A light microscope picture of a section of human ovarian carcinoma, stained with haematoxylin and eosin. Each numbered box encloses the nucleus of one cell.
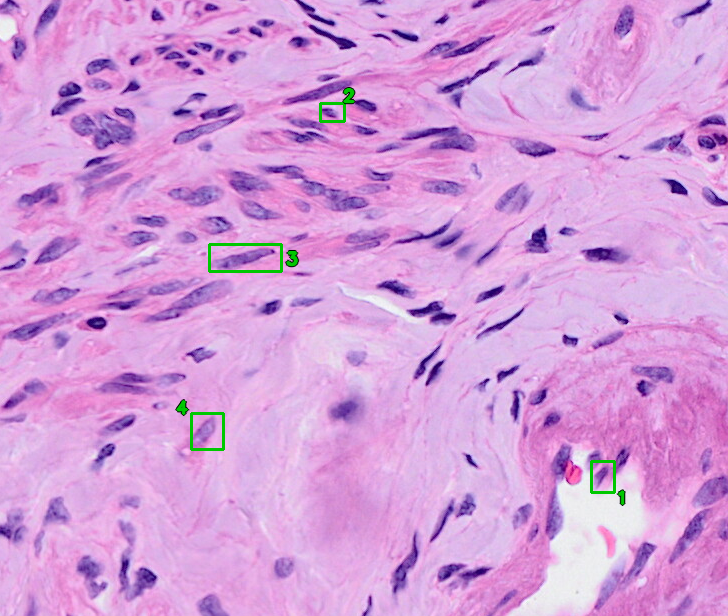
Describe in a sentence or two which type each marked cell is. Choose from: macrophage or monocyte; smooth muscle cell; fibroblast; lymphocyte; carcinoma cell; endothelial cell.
Cell 1 is an endothelial cell. Cells 2, 3 and 4 are smooth muscle cells.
